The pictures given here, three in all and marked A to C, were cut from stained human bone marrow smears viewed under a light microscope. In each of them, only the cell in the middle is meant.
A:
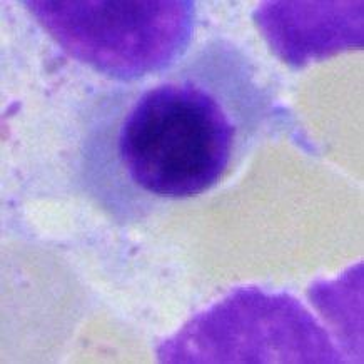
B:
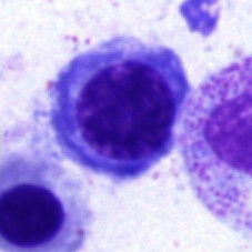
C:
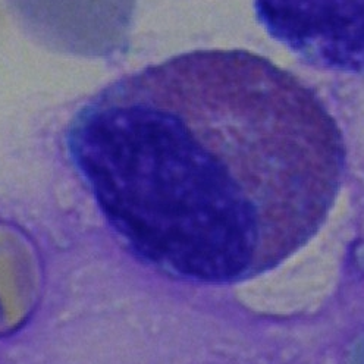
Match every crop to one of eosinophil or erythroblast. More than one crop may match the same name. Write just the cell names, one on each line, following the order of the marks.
erythroblast
erythroblast
eosinophil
